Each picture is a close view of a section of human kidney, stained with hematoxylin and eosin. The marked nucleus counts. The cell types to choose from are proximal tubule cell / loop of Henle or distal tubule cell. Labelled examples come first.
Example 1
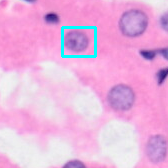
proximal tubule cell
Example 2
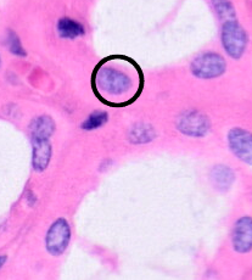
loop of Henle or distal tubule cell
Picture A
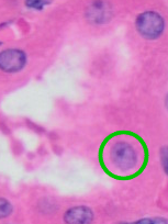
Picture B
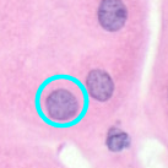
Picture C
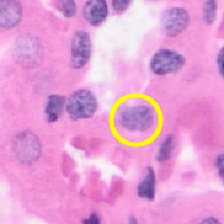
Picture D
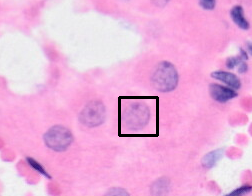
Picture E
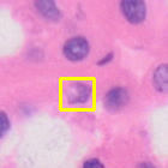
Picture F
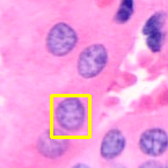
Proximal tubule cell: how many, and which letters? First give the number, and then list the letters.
4: A, B, D, F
